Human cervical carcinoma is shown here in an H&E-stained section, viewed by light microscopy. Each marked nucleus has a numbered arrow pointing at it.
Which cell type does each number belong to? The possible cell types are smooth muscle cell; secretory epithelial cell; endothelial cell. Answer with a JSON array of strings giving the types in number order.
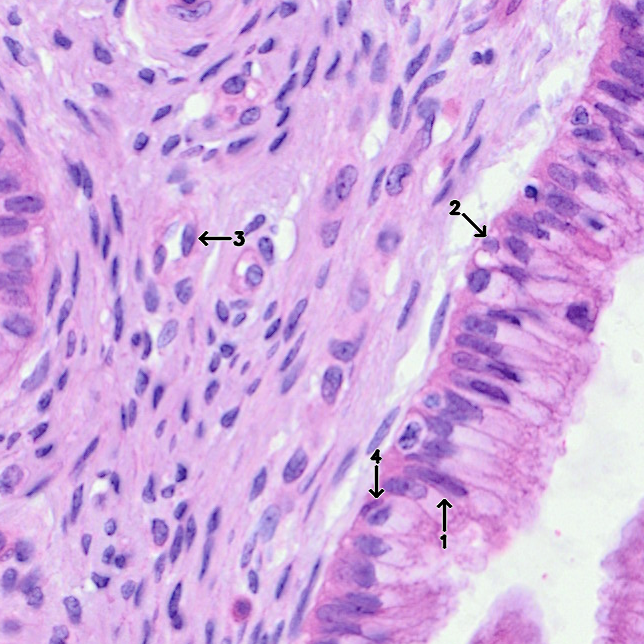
["secretory epithelial cell", "secretory epithelial cell", "endothelial cell", "secretory epithelial cell"]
